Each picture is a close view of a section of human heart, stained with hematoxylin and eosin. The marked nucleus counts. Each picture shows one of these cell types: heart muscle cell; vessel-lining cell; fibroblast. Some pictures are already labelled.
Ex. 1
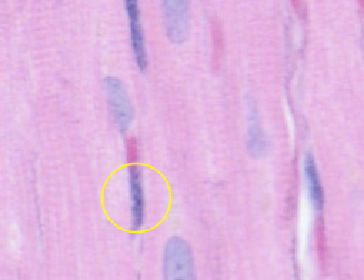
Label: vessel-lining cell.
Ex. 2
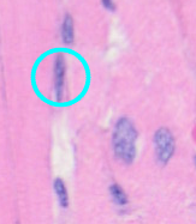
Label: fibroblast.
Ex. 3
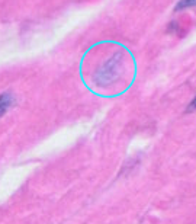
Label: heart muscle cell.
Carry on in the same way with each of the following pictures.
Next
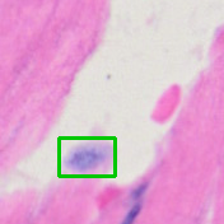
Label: fibroblast.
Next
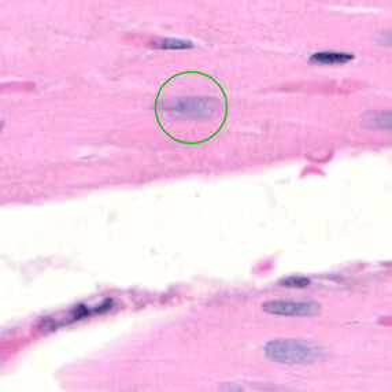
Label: heart muscle cell.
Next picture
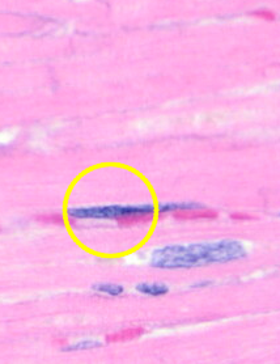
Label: vessel-lining cell.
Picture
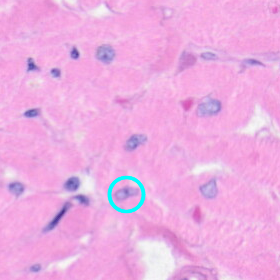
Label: heart muscle cell.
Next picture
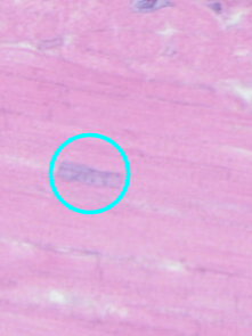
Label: heart muscle cell.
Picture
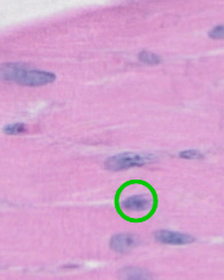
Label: fibroblast.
